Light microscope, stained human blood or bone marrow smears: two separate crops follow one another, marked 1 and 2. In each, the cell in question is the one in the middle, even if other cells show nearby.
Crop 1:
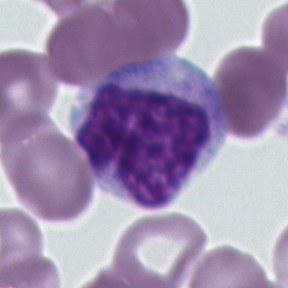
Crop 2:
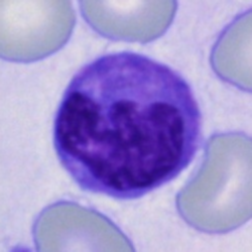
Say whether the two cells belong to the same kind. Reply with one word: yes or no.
yes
